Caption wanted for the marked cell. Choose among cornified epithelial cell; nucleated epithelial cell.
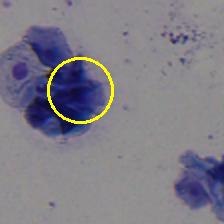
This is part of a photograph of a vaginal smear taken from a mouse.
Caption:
Ringed in yellow is a cornified epithelial cell.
